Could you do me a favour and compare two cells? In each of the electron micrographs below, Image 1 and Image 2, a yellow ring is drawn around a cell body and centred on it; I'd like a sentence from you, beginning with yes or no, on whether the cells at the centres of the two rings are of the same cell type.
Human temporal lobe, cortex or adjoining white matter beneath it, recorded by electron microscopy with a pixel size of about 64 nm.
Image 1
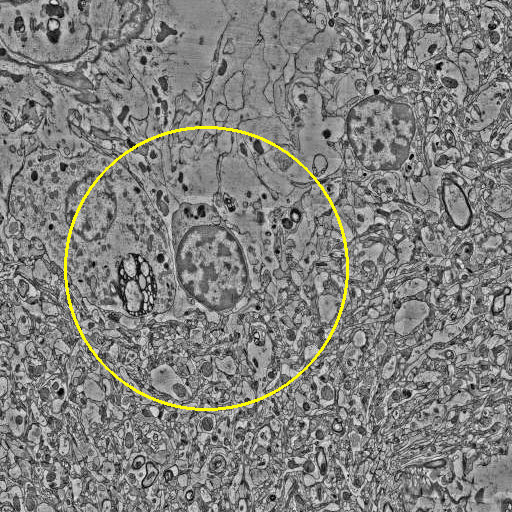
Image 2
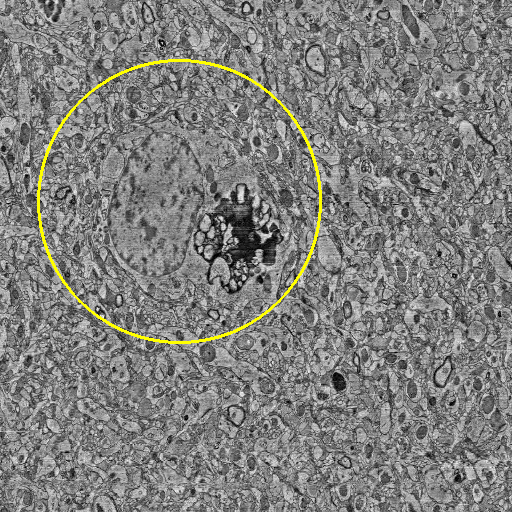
No, the two cells are of two cell types.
